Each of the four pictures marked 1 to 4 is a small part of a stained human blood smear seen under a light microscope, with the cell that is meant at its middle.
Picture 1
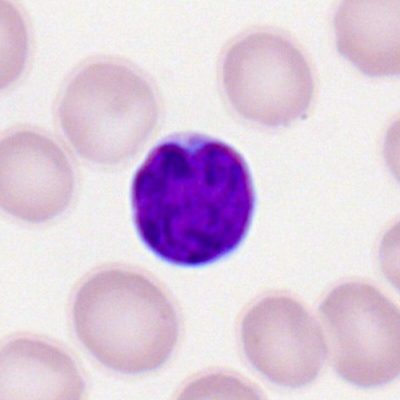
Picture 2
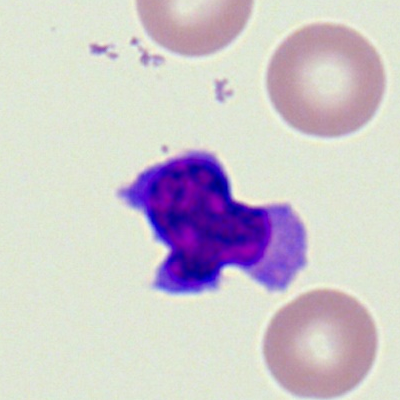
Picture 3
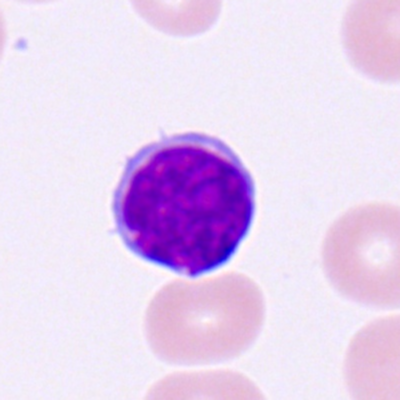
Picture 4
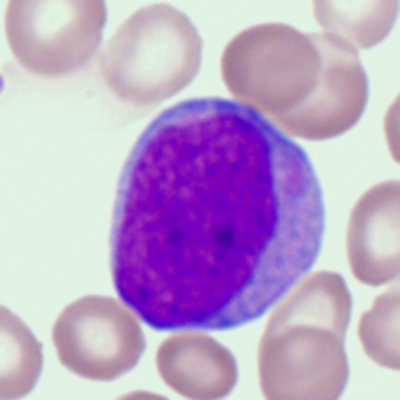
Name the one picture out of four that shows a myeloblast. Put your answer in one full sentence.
The picture with the myeloblast is 4.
